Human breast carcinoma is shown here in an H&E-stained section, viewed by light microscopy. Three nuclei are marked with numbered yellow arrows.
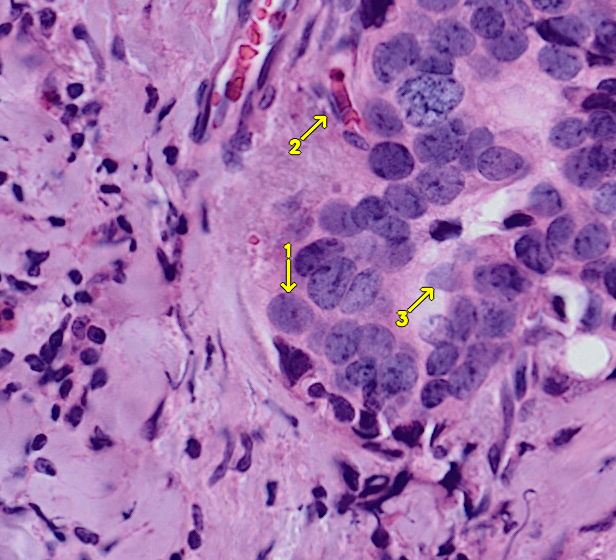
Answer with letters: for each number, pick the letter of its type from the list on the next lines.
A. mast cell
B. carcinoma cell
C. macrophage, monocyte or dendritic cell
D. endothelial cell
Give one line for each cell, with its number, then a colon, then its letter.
1: B
2: D
3: B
